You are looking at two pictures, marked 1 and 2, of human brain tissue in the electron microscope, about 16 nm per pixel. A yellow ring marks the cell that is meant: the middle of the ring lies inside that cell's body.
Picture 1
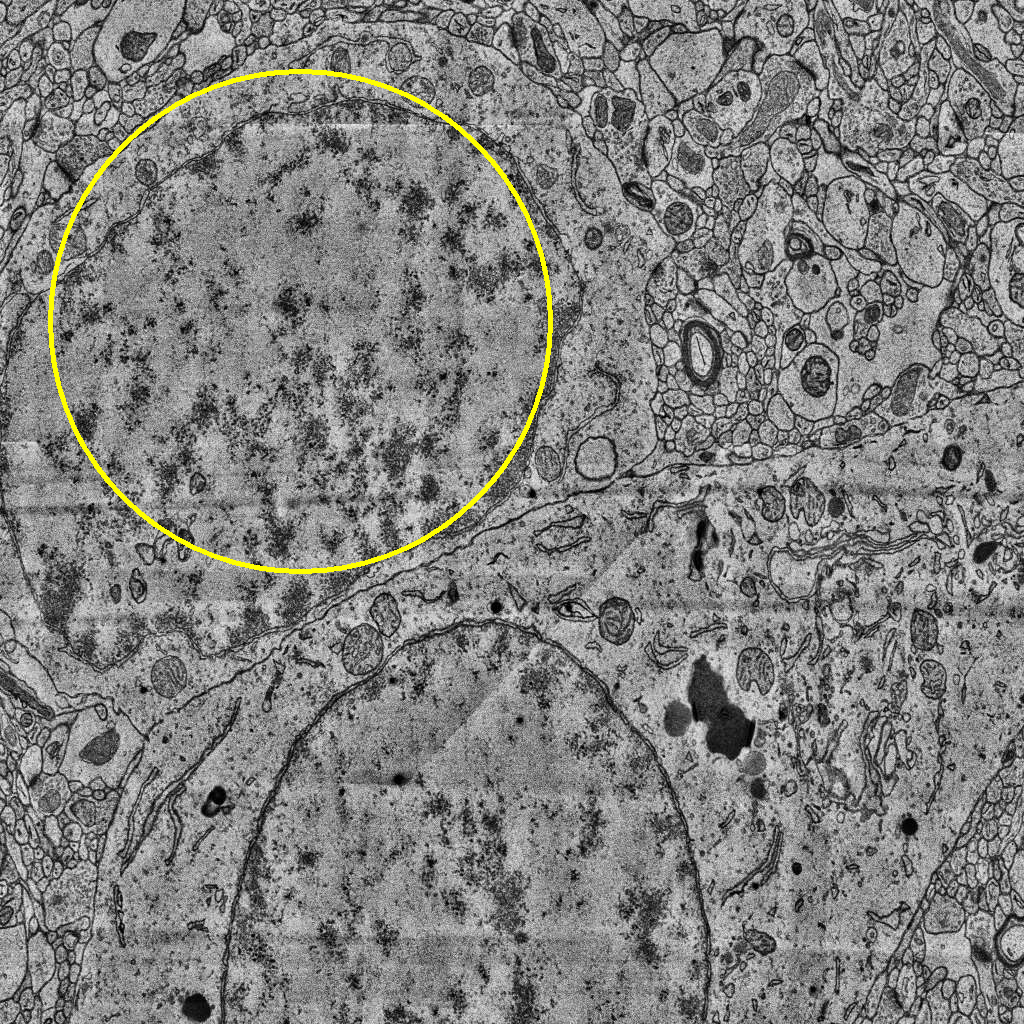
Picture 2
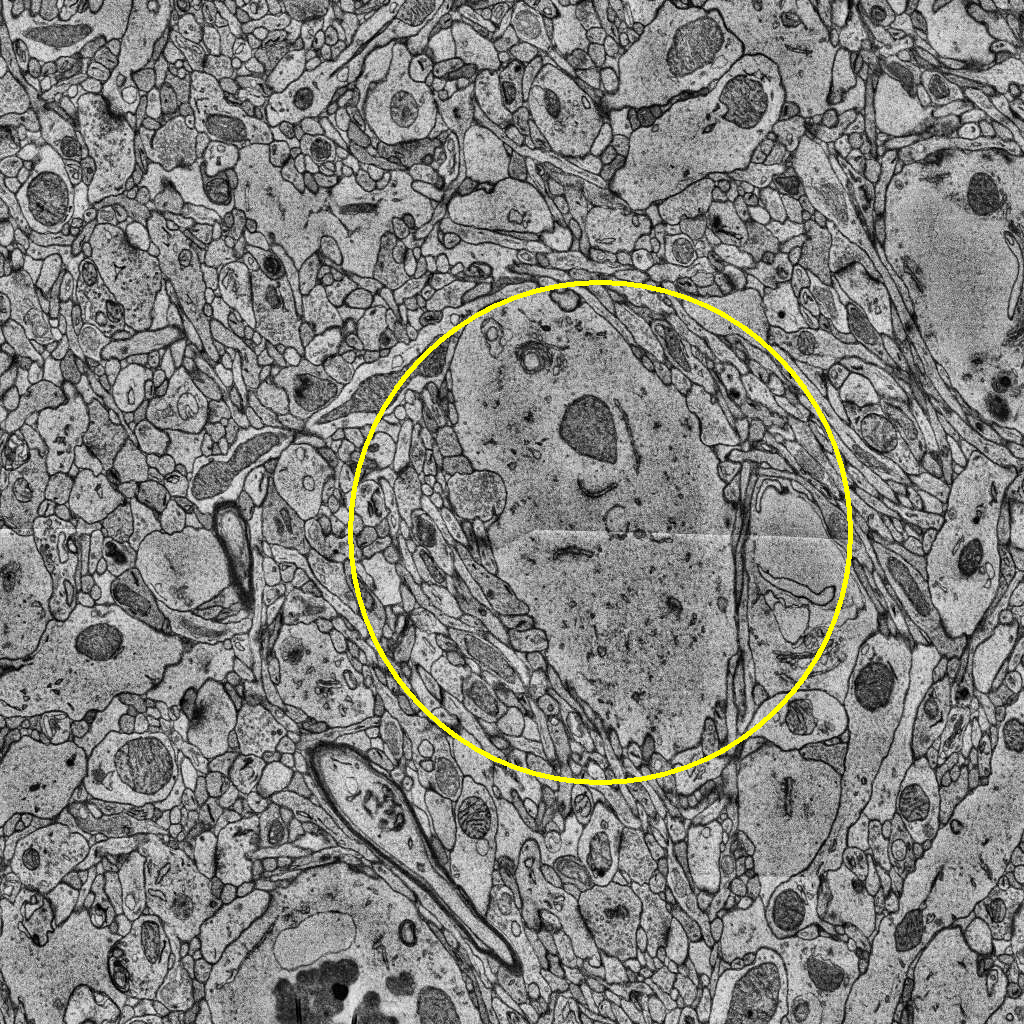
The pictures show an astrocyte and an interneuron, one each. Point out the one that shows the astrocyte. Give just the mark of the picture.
2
